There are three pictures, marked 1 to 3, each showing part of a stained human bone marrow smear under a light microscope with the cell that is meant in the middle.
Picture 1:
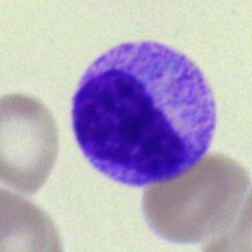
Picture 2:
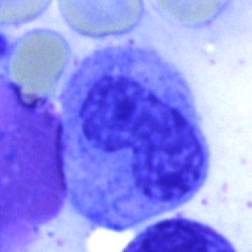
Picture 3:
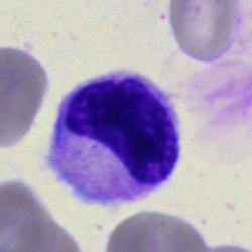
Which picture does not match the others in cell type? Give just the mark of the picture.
1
